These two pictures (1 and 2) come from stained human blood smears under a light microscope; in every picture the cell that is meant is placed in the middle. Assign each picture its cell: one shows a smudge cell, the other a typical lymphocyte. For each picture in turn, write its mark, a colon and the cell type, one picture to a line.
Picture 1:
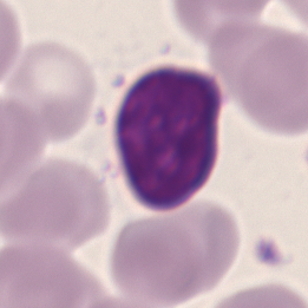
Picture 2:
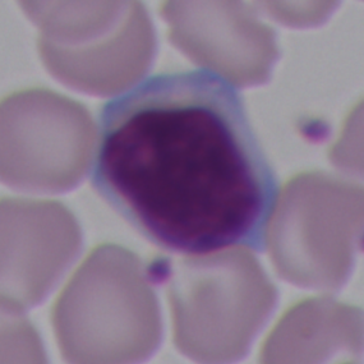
1: smudge cell
2: typical lymphocyte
